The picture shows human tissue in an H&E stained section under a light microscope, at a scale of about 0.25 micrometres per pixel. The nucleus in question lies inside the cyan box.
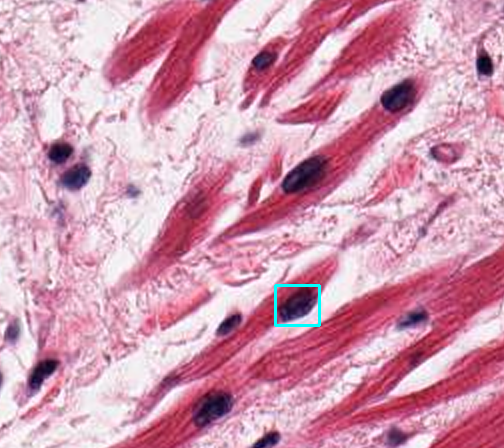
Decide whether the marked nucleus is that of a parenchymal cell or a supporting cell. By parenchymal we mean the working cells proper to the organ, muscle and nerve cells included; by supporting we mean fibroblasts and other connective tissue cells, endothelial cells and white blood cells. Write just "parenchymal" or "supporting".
parenchymal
